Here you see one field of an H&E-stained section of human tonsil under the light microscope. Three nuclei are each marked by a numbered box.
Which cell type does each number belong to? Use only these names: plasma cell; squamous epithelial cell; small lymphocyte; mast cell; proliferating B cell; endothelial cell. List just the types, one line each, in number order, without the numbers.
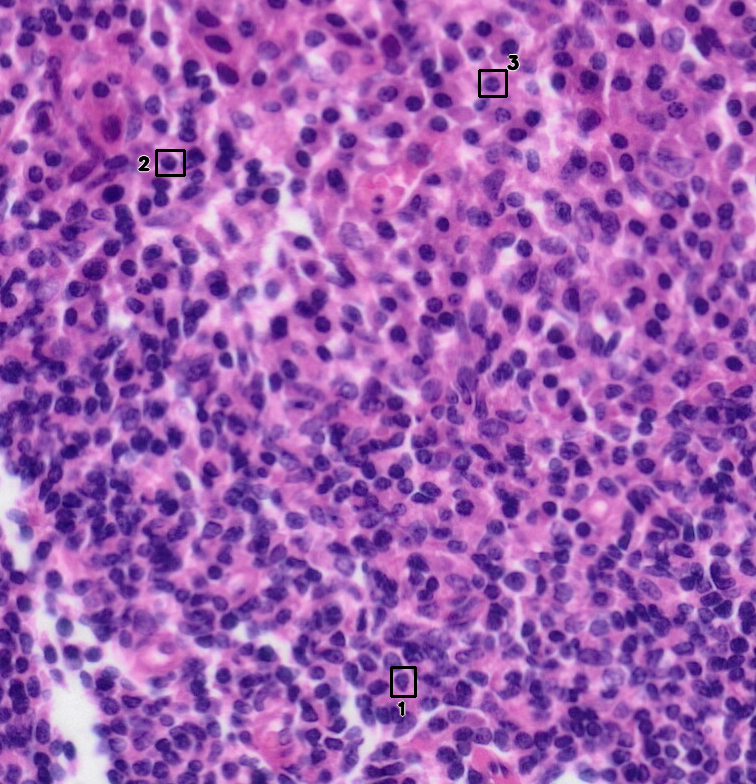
small lymphocyte
plasma cell
plasma cell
